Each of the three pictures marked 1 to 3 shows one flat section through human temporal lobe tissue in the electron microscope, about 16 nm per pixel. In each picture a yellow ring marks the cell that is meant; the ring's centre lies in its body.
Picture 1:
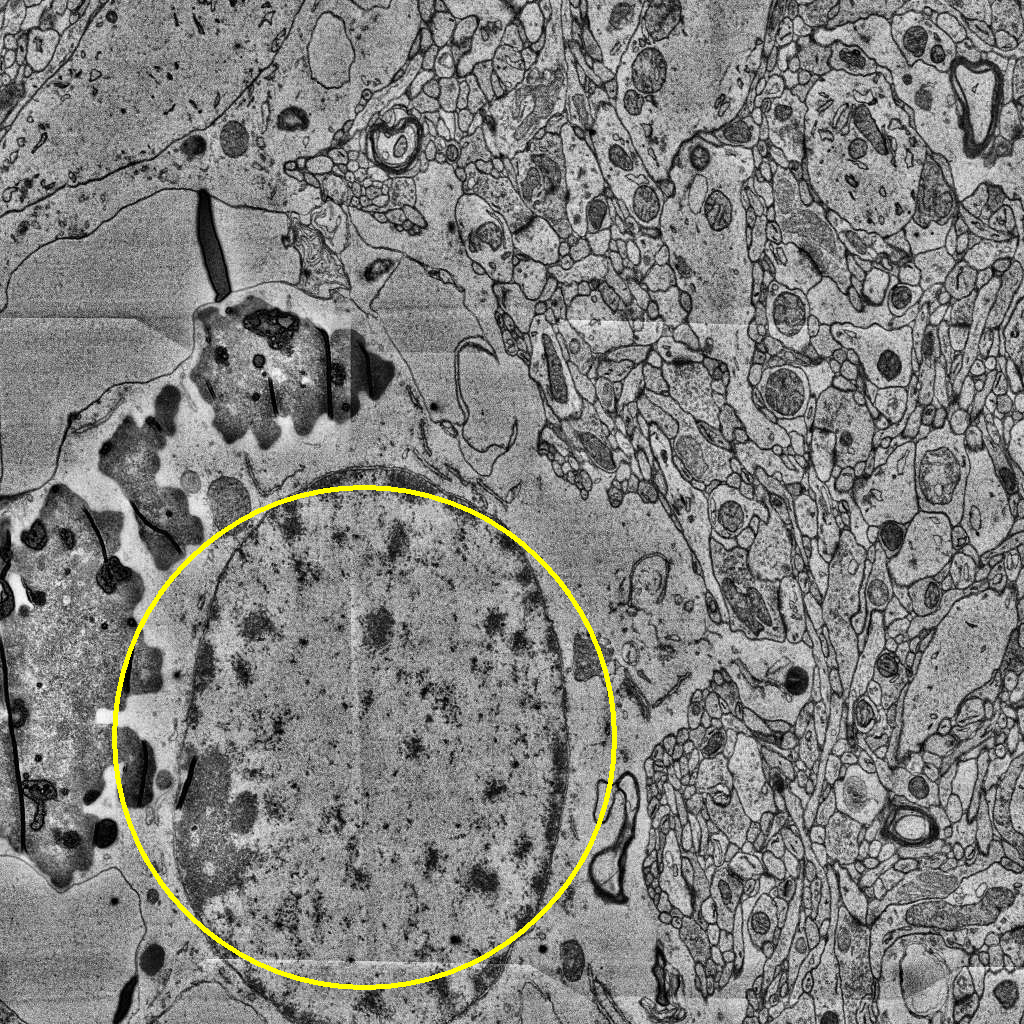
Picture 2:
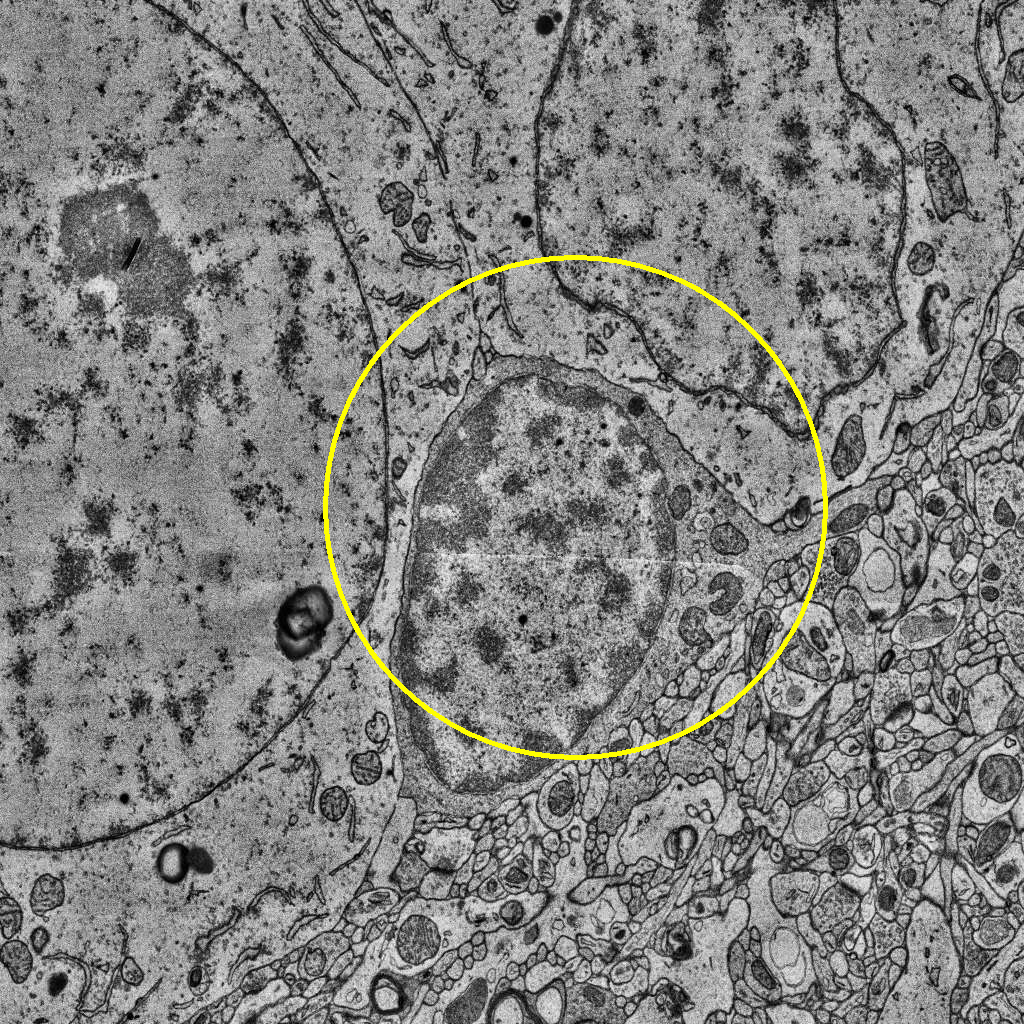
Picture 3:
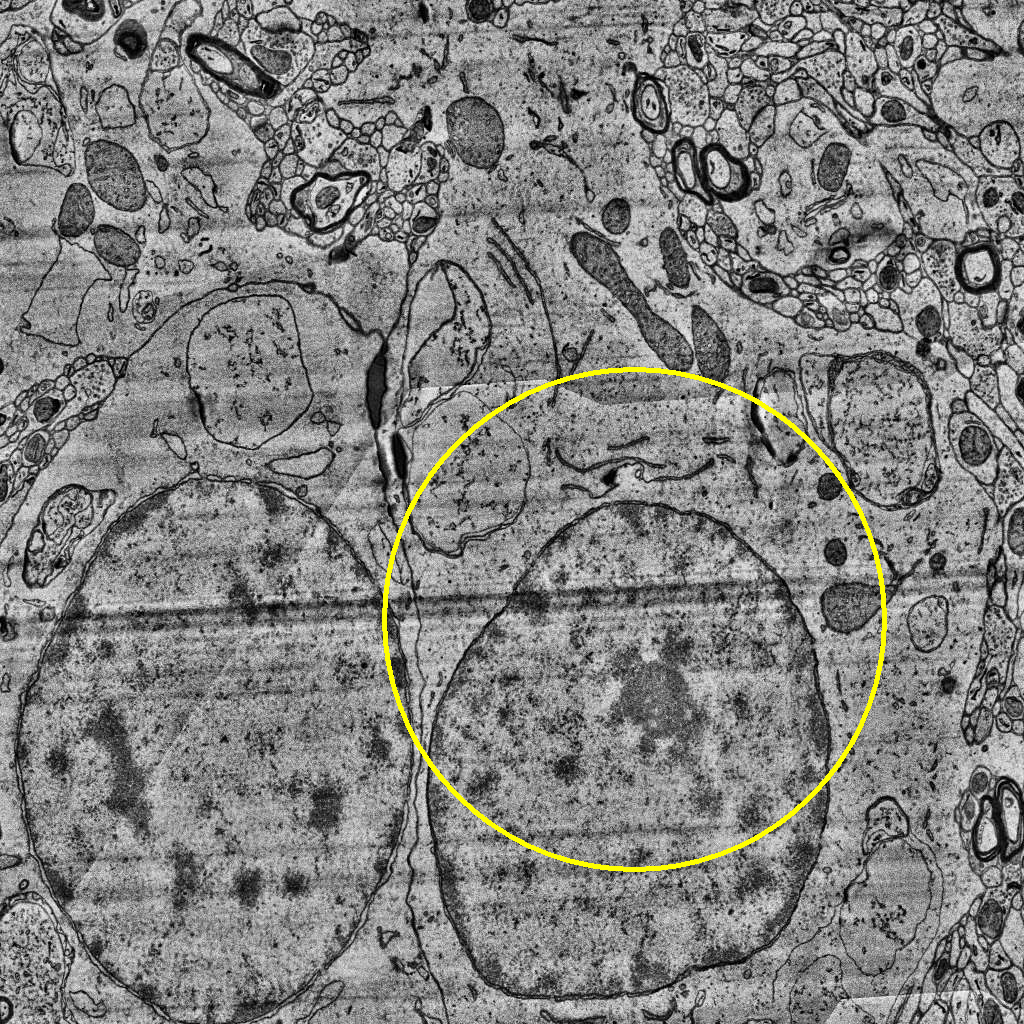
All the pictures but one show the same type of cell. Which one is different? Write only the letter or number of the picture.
2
